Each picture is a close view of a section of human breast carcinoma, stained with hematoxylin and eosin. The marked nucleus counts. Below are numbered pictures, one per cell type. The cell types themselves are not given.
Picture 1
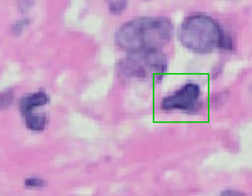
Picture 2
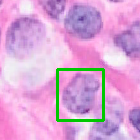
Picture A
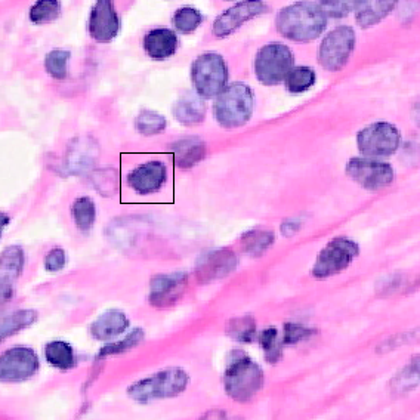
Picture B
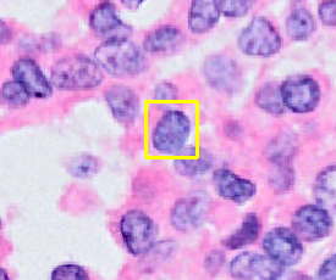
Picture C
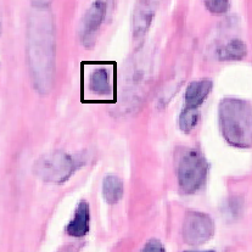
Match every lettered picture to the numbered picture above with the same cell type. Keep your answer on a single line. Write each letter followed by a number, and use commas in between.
A 1, B 2, C 1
